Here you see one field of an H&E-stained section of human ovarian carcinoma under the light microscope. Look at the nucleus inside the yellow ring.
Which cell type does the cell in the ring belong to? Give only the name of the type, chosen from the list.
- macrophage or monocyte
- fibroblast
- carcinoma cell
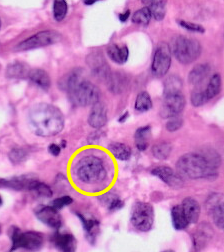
carcinoma cell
